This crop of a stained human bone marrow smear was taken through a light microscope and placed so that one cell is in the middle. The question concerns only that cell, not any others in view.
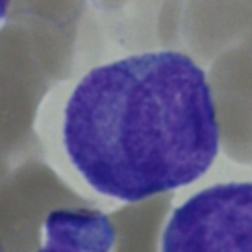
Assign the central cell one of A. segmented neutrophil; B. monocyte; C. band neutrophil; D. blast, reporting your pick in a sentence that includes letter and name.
That middle cell is a blast, and option D is therefore correct.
